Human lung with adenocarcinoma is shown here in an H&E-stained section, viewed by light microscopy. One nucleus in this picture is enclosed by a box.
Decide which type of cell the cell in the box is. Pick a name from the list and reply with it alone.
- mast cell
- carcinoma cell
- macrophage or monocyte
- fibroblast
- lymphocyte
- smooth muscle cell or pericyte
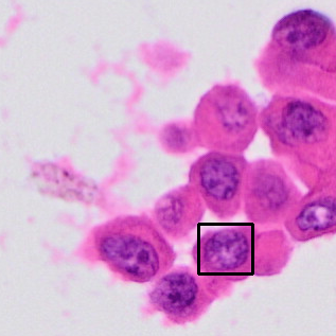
carcinoma cell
